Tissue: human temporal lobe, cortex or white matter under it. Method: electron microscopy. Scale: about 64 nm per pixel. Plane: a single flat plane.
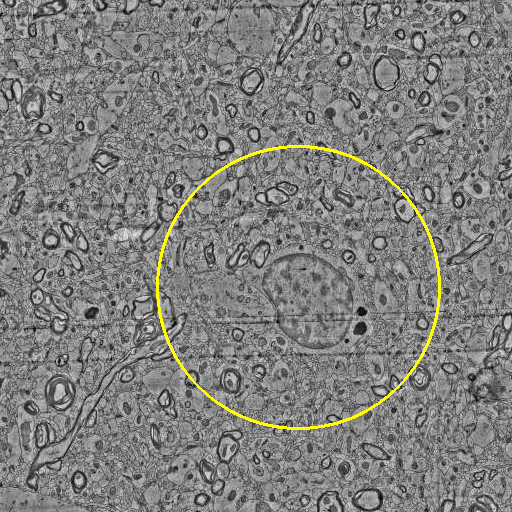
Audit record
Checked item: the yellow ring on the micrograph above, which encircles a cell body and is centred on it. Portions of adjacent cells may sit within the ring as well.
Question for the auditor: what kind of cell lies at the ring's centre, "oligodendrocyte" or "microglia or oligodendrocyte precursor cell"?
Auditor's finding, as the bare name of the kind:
oligodendrocyte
